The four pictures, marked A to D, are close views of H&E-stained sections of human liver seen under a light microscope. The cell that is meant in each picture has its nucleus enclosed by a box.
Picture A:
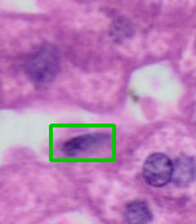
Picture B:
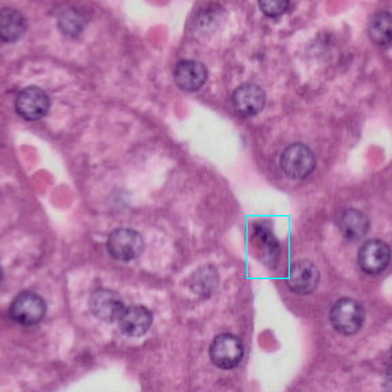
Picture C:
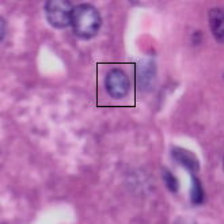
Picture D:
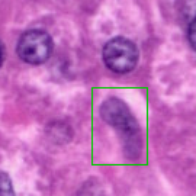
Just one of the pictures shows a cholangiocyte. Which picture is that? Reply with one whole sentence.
The cell in picture C is the cholangiocyte.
